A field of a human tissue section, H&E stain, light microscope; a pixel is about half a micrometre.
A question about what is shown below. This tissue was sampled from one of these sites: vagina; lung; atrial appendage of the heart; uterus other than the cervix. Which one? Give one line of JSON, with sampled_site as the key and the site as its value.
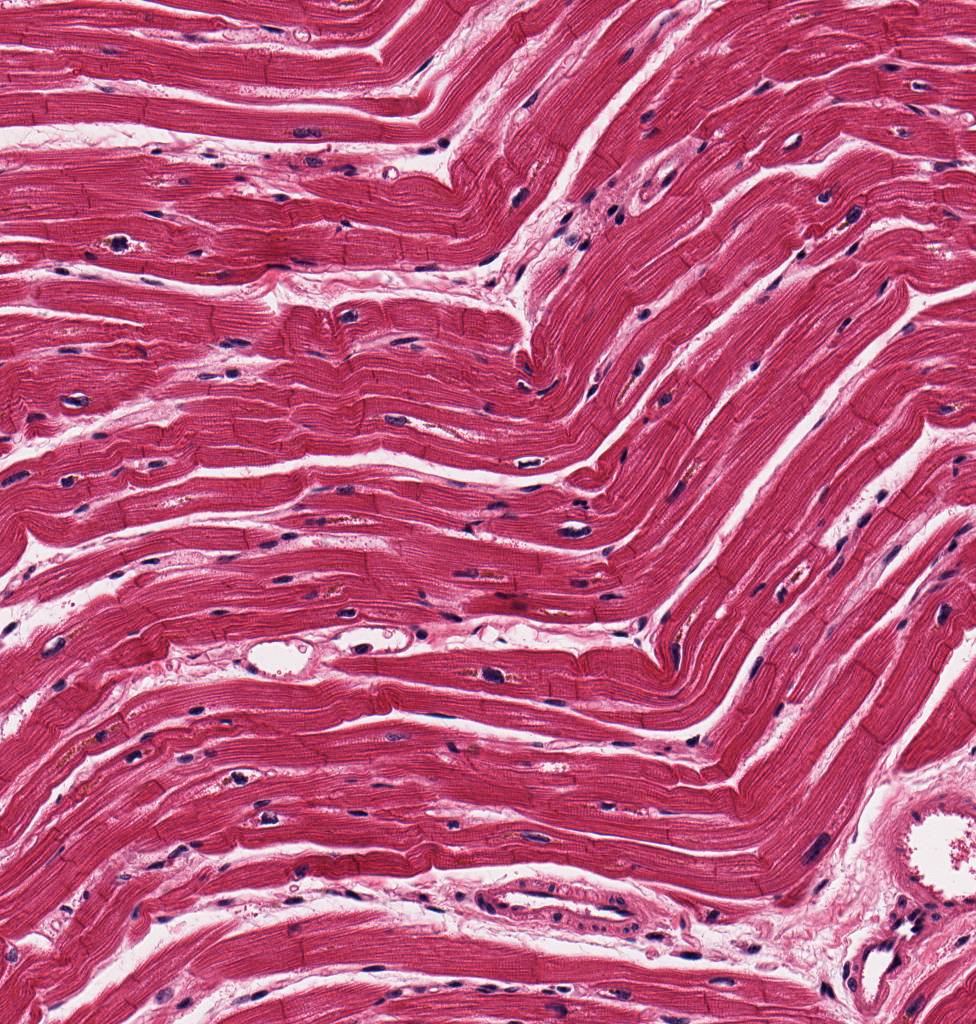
{"sampled_site": "atrial appendage of the heart"}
